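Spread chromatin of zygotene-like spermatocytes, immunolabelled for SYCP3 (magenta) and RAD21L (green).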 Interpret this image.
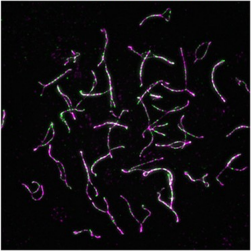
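Green dots are distributed along the length of many axes, giving them a beaded, mixed appearance where the two colours overlap. Several axes end in brighter magenta knobs. The axes are scattered across the field without forming an organized pattern.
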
